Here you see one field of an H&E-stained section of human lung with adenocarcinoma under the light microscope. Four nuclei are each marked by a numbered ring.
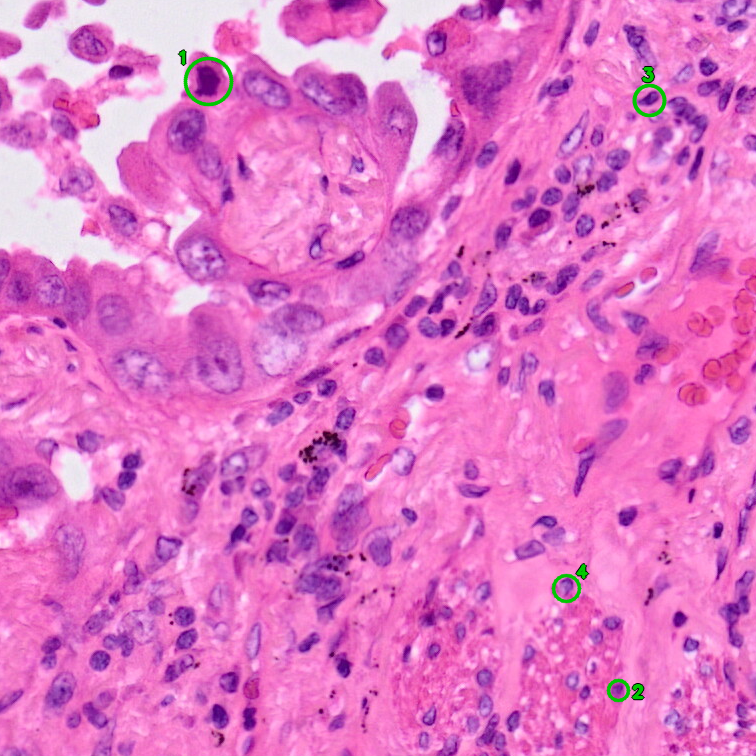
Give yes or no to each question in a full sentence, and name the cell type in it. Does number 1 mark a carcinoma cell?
Yes, the cell pointed out as number 1 is a carcinoma cell.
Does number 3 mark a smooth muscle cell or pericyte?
No, cell 3 is not to be taken for a smooth muscle cell or pericyte; it is a lymphocyte.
